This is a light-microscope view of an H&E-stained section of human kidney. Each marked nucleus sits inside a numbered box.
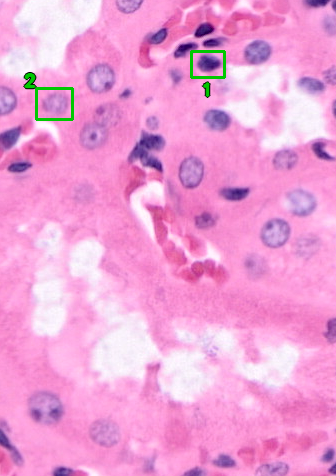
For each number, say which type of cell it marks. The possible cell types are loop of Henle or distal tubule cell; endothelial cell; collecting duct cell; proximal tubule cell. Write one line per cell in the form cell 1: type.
cell 1: loop of Henle or distal tubule cell
cell 2: proximal tubule cell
